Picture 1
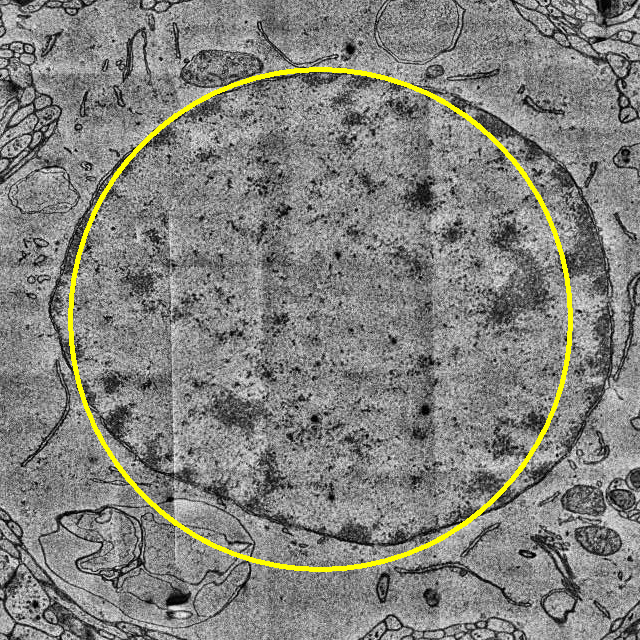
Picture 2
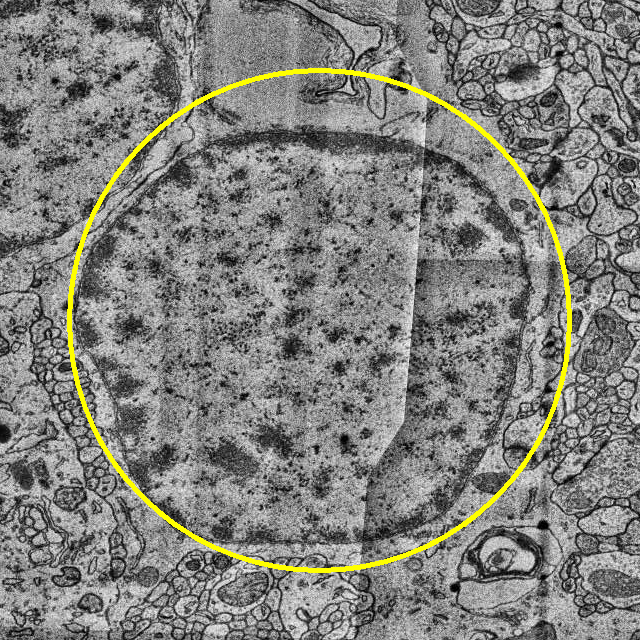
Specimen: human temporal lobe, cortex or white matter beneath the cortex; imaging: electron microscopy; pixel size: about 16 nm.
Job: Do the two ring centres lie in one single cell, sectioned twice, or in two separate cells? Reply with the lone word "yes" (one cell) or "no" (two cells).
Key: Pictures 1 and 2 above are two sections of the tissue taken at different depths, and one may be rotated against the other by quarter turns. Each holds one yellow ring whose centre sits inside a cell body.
no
